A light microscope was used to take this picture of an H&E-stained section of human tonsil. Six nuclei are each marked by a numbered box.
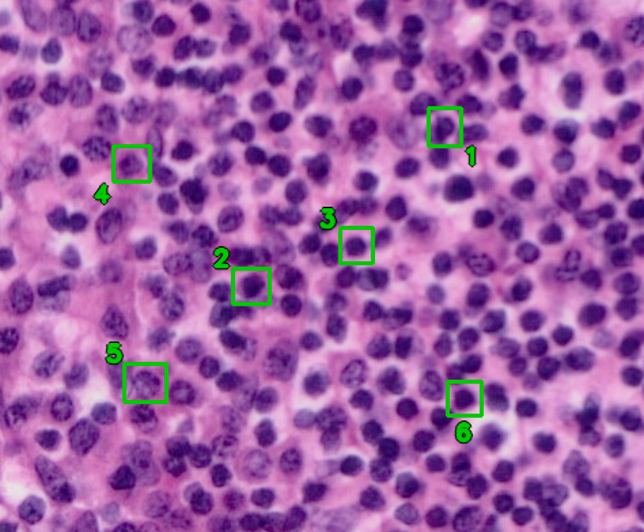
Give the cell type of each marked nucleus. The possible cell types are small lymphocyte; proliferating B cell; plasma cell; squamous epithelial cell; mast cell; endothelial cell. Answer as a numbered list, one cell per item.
1. small lymphocyte
2. small lymphocyte
3. small lymphocyte
4. plasma cell
5. plasma cell
6. small lymphocyte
